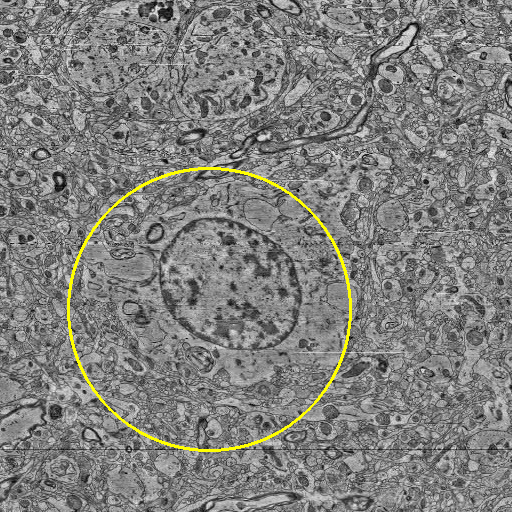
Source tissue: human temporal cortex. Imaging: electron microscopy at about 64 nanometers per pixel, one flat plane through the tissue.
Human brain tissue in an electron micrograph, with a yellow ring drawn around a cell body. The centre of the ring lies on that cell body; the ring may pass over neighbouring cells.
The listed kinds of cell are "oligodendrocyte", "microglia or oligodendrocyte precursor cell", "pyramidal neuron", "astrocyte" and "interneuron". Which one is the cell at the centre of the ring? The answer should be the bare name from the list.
astrocyte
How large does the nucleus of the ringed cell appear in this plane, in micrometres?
The nucleus comes to roughly 10 by 8 micrometres in this plane.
